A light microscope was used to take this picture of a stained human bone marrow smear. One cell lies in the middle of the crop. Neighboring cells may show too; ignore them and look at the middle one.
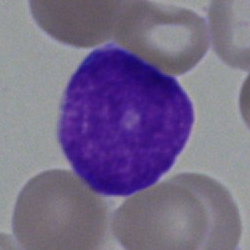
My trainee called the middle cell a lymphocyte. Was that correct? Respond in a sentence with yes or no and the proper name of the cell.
No, the central cell is not a lymphocyte, being instead a blast.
